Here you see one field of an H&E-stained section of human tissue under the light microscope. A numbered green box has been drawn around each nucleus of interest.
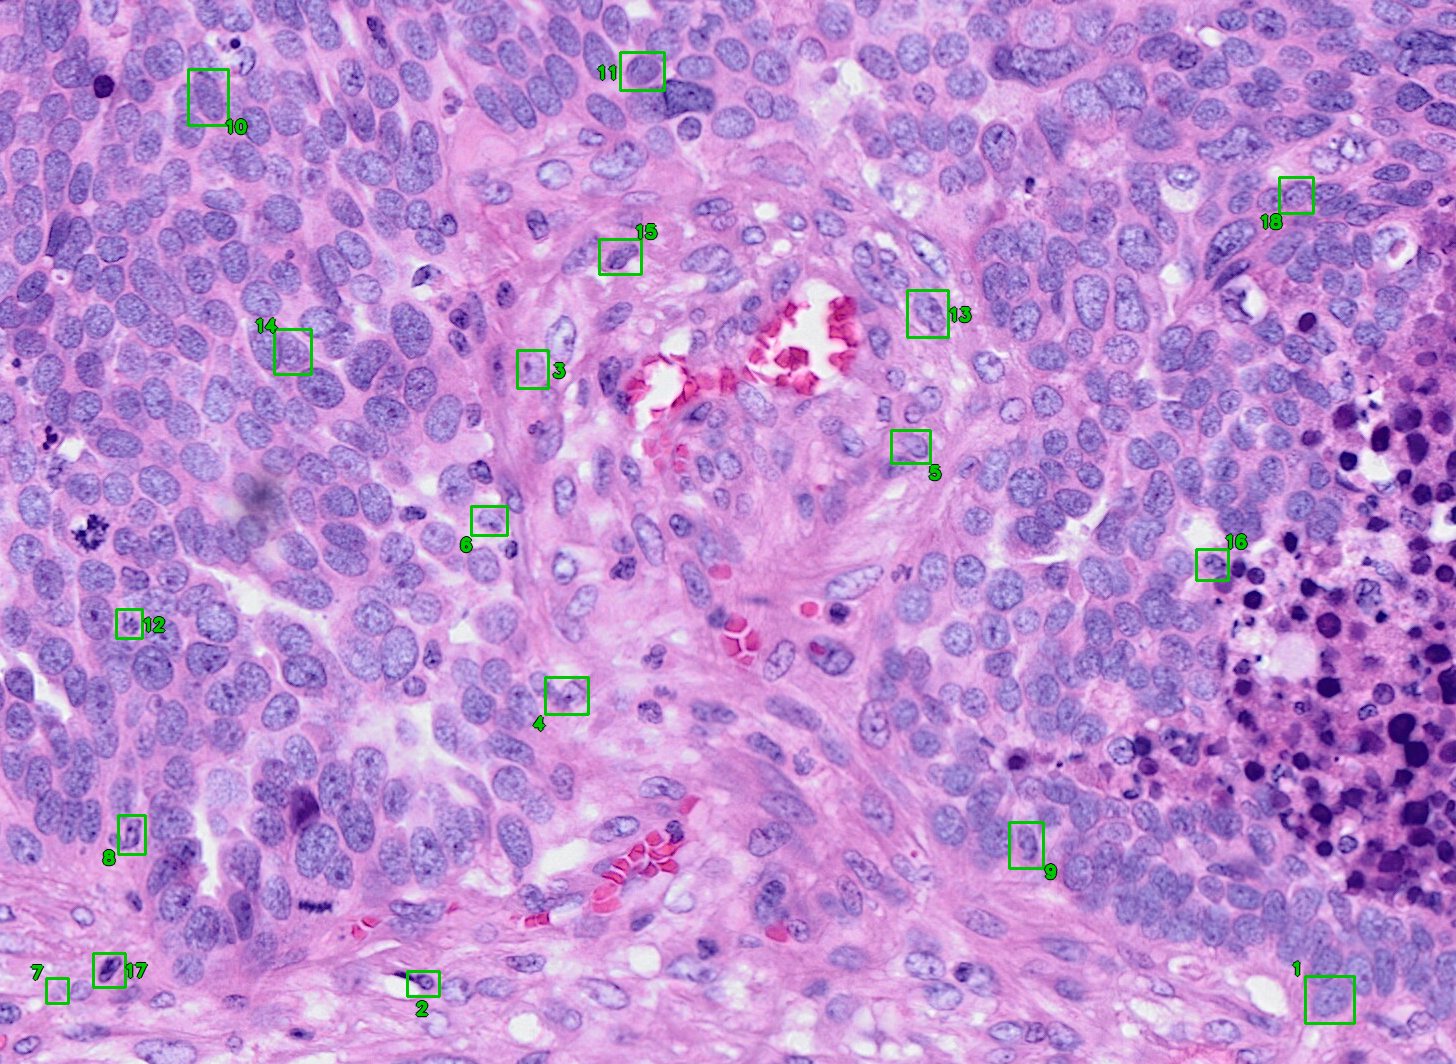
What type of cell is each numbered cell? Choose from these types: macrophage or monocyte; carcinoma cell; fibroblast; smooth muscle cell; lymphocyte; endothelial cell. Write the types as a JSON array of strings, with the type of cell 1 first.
["carcinoma cell", "macrophage or monocyte", "fibroblast", "fibroblast", "fibroblast", "macrophage or monocyte", "fibroblast", "macrophage or monocyte", "macrophage or monocyte", "carcinoma cell", "carcinoma cell", "lymphocyte", "fibroblast", "carcinoma cell", "macrophage or monocyte", "macrophage or monocyte", "lymphocyte", "carcinoma cell"]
